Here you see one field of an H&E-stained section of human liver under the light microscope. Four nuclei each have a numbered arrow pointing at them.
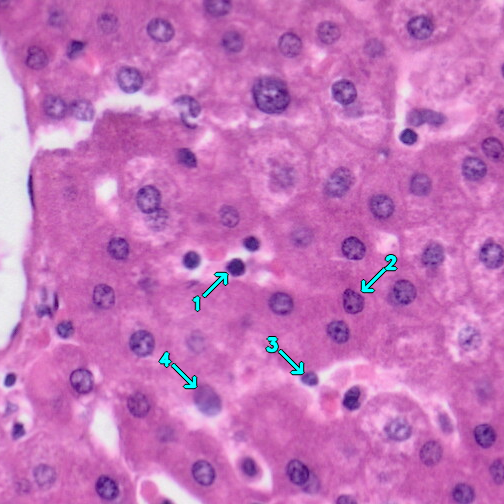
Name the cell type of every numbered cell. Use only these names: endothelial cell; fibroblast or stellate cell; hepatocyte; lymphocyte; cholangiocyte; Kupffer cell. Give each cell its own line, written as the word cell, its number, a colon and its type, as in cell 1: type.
cell 1: lymphocyte
cell 2: hepatocyte
cell 3: lymphocyte
cell 4: endothelial cell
